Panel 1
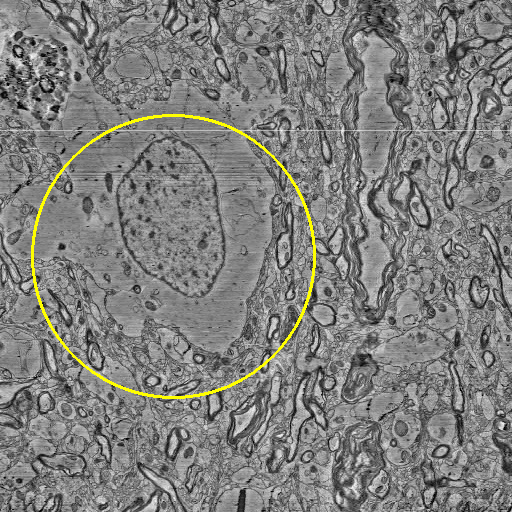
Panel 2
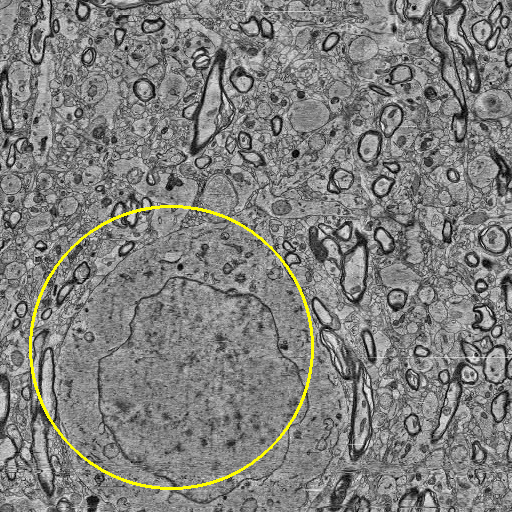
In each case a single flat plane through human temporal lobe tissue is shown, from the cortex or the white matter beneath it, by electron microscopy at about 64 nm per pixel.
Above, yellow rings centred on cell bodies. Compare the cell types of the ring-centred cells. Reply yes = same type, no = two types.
no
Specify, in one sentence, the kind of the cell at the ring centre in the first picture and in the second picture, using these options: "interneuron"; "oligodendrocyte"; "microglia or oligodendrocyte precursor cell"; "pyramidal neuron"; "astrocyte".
So the first is an astrocyte, the second a pyramidal neuron.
